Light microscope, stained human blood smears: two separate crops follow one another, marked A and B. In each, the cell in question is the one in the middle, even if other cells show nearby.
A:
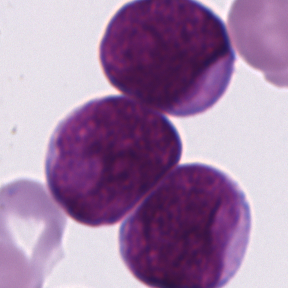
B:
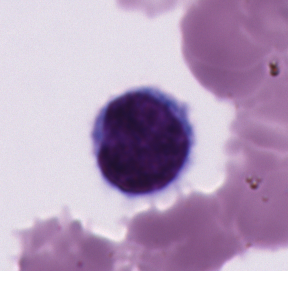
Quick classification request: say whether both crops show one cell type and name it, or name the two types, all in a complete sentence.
No, a hairy cell is the cell in crop B, and crop A contains a myeloblast.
